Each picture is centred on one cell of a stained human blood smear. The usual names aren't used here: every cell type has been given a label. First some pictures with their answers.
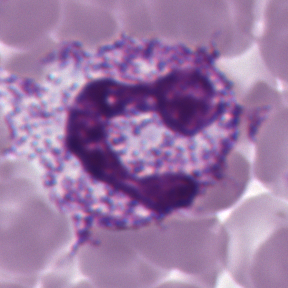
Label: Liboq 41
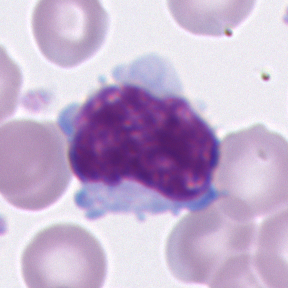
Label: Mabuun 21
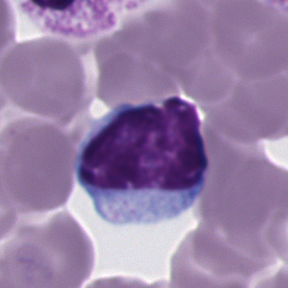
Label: Mabuun 21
